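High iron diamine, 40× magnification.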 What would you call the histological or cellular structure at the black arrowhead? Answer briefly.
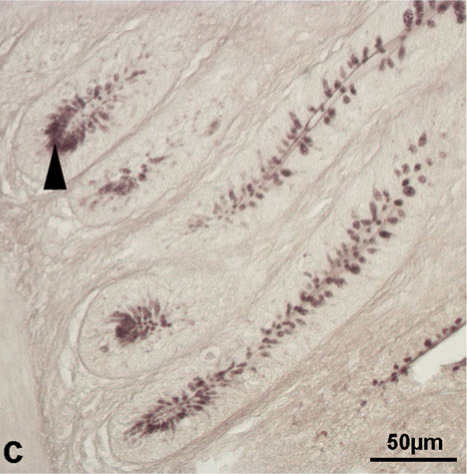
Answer: Crypt bases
